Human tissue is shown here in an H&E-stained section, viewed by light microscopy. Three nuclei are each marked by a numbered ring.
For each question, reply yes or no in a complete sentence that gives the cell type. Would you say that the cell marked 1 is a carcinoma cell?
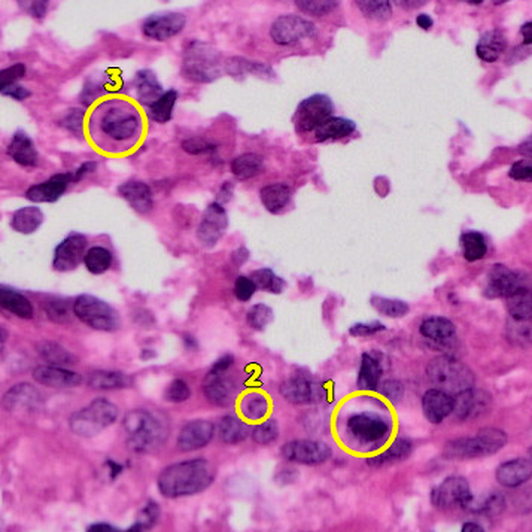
Yes, the cell tagged with number 1 is a carcinoma cell.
